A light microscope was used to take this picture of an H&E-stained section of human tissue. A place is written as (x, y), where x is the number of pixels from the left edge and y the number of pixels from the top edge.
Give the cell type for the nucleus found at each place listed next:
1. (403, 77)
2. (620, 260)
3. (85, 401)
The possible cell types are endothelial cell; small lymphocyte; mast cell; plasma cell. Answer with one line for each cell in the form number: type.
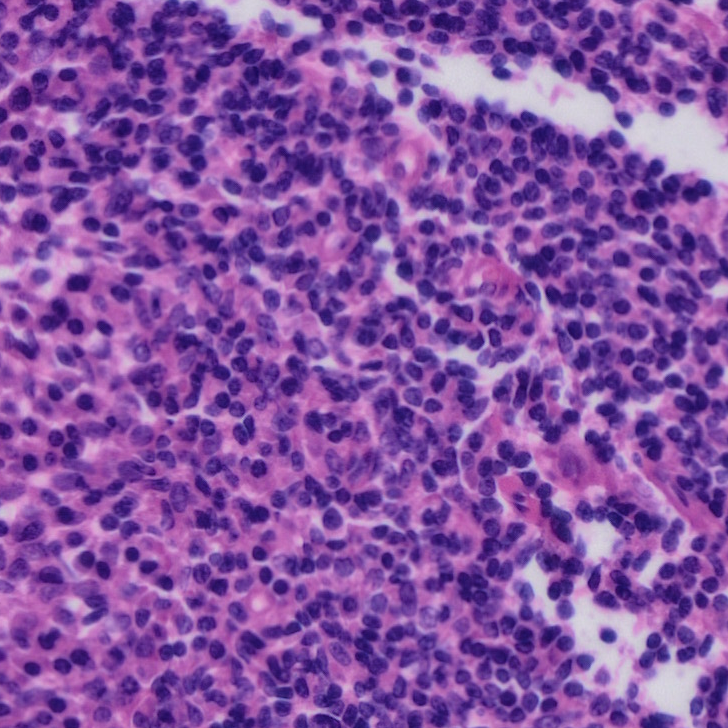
1: small lymphocyte
2: small lymphocyte
3: plasma cell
